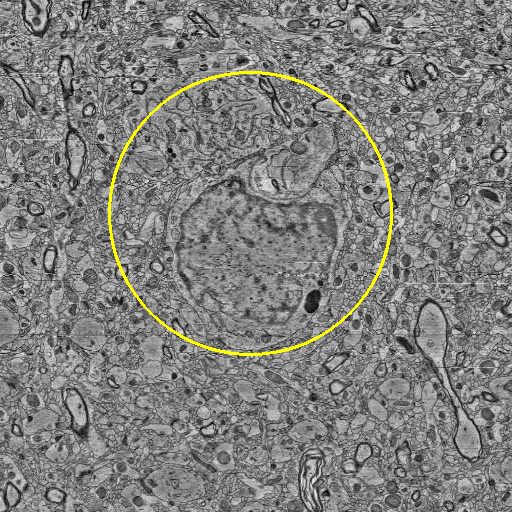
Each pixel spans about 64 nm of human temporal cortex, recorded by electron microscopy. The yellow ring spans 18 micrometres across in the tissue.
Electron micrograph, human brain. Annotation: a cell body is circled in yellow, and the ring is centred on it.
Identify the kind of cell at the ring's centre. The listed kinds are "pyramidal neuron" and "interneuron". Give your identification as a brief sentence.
The circled cell body is that of an interneuron.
